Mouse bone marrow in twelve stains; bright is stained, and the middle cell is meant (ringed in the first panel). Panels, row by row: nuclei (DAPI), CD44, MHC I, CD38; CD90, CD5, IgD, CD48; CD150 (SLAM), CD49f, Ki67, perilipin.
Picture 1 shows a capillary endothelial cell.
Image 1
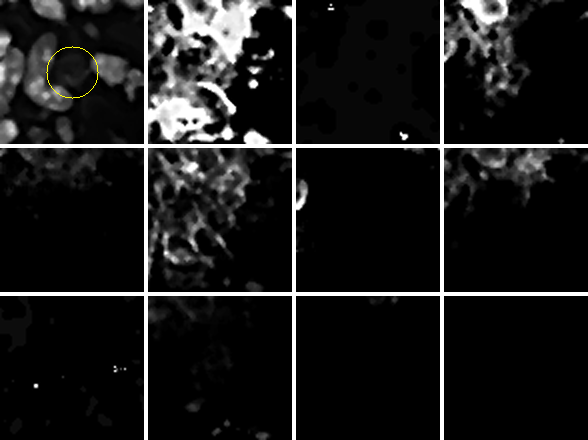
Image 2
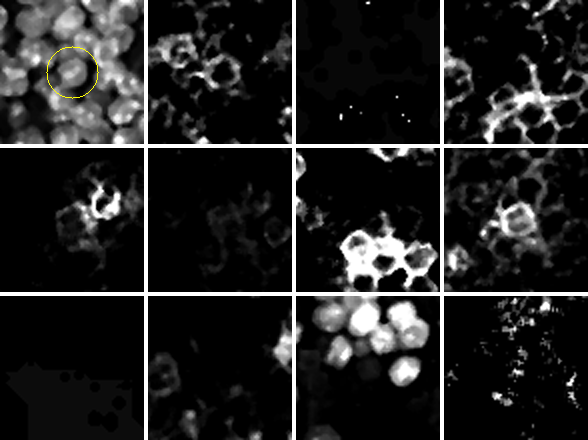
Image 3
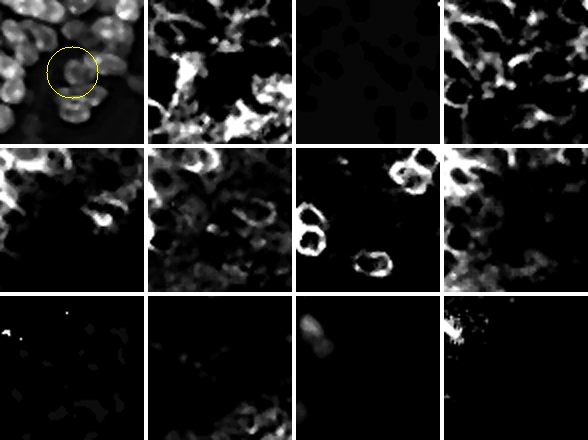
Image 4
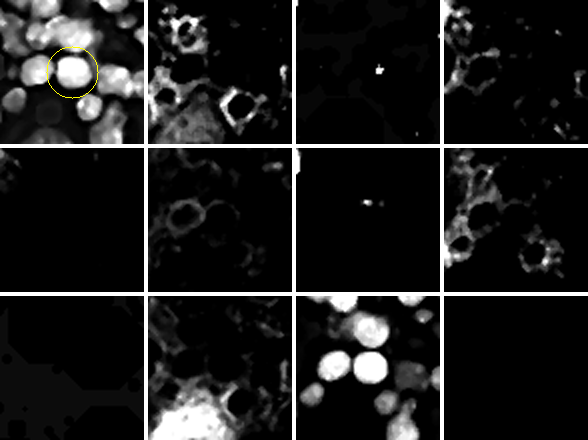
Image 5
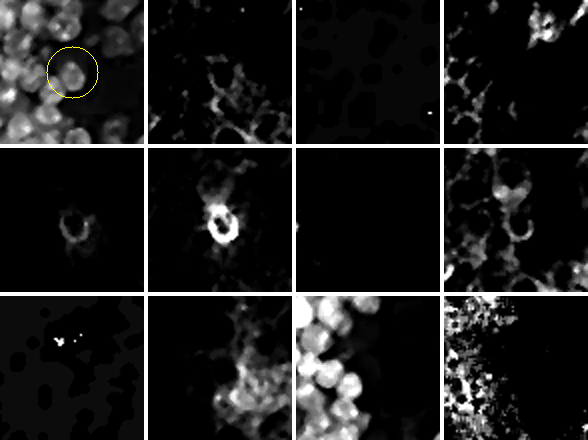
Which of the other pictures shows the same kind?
Picture 3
